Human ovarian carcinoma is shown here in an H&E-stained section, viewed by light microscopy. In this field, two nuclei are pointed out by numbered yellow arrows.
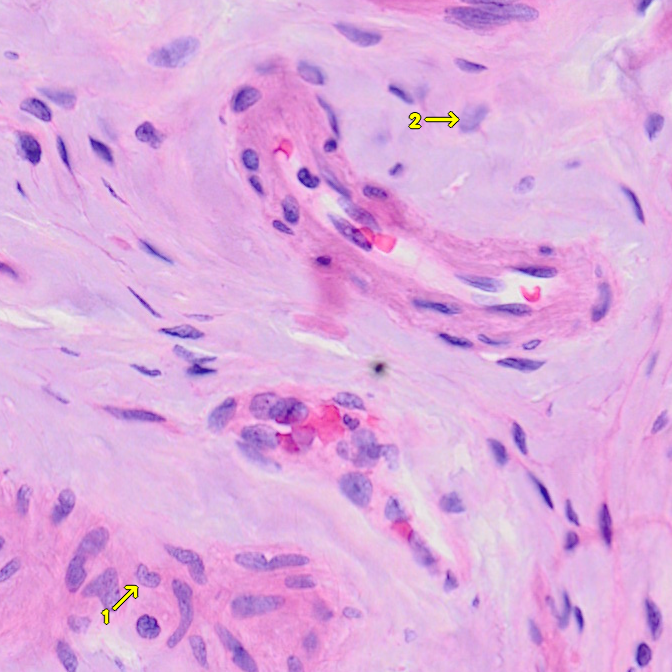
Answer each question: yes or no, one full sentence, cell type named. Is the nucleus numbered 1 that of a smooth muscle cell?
Yes, the cell carrying label 1 is a smooth muscle cell.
